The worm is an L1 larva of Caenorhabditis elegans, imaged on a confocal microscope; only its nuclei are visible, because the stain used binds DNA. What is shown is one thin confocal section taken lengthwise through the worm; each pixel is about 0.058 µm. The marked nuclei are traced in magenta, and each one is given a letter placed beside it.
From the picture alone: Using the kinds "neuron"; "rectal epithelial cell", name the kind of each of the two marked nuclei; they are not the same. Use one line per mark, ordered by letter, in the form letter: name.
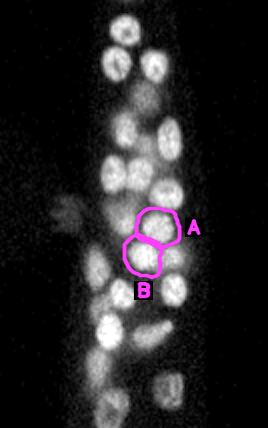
A: neuron
B: rectal epithelial cell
